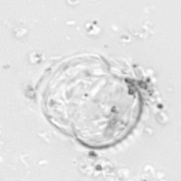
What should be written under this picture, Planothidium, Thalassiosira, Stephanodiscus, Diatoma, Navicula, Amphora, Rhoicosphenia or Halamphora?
Stephanodiscus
